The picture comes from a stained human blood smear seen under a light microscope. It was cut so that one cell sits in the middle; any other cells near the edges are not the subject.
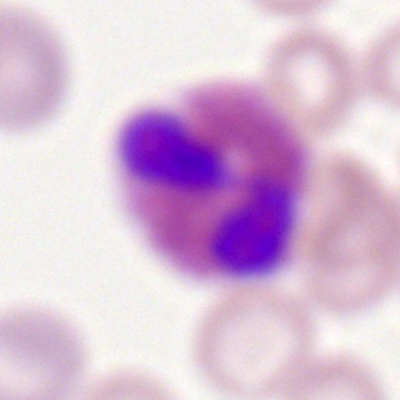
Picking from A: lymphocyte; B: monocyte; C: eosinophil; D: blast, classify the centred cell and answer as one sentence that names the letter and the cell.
Option C holds up: the cell in the middle is an eosinophil.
